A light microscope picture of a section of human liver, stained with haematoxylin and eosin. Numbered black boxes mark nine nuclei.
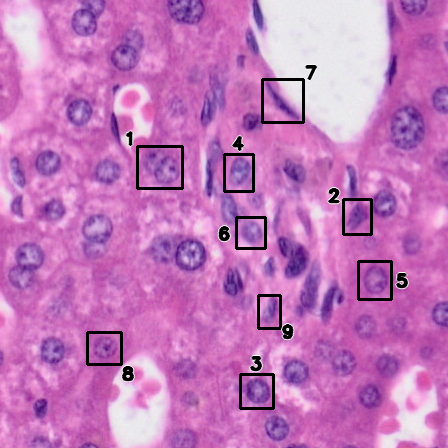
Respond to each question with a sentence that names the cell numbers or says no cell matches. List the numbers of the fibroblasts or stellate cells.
The cells 2, 7 and 9 in this section are fibroblasts or stellate cells.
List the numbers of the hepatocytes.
Into the category of hepatocytes fall the cells numbered 1, 3, 5 and 8.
